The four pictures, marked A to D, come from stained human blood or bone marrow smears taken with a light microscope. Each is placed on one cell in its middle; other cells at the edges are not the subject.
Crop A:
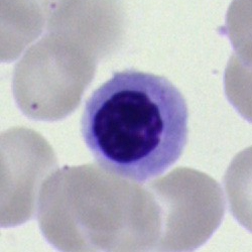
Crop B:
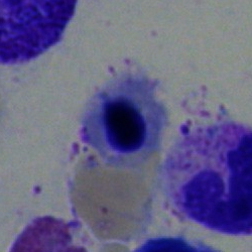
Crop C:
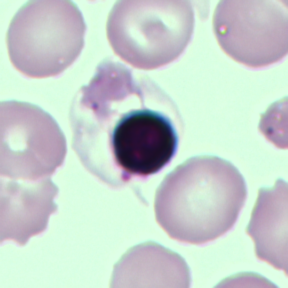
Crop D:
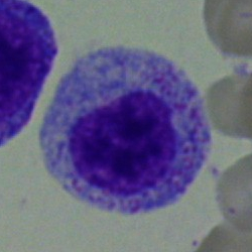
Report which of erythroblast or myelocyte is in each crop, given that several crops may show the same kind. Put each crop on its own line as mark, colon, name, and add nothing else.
A: erythroblast
B: erythroblast
C: erythroblast
D: myelocyte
